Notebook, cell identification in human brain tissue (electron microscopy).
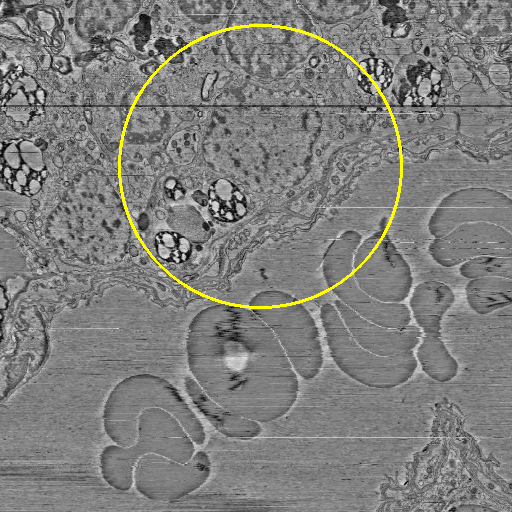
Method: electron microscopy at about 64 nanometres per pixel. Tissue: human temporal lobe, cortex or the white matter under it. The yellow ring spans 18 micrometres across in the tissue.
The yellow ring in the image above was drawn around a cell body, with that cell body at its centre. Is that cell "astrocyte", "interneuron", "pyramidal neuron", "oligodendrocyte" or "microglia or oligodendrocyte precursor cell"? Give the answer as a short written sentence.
The cell in the ring is an astrocyte.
